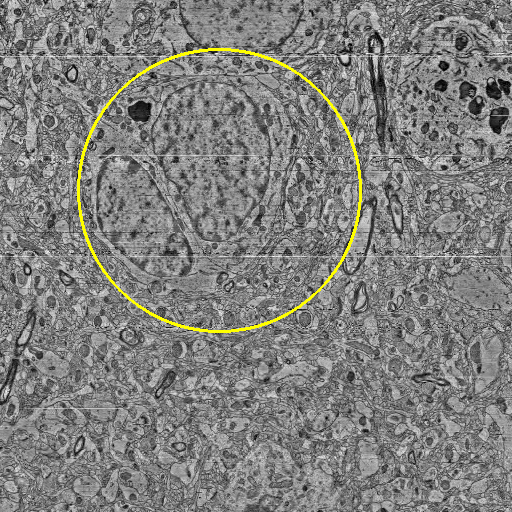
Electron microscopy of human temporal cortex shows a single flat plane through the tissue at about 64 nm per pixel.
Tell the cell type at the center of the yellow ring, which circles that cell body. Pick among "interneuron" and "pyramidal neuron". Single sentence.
The ring is centered on the body of an interneuron.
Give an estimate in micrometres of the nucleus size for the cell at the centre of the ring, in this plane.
In this plane, roughly 11 by 8 micrometres.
